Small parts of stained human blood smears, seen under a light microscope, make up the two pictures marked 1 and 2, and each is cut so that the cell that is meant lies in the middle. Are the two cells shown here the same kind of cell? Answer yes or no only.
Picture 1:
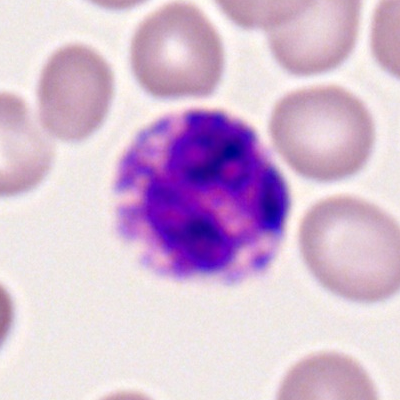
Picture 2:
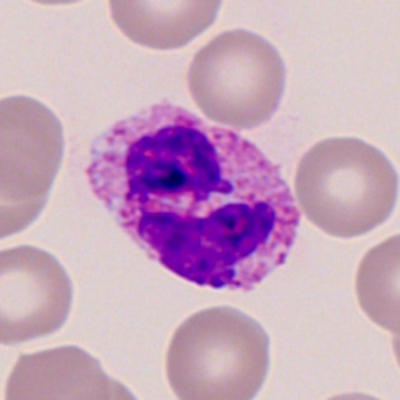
yes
